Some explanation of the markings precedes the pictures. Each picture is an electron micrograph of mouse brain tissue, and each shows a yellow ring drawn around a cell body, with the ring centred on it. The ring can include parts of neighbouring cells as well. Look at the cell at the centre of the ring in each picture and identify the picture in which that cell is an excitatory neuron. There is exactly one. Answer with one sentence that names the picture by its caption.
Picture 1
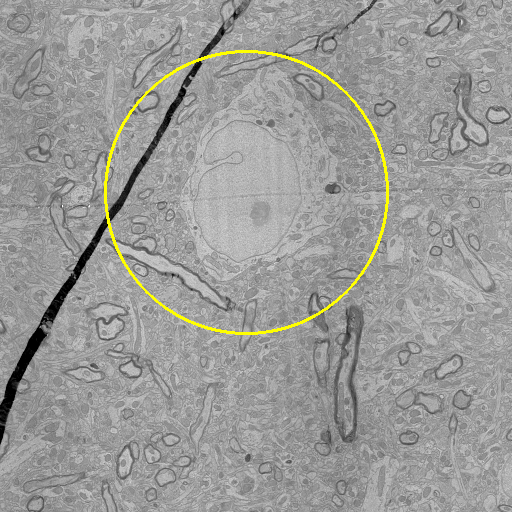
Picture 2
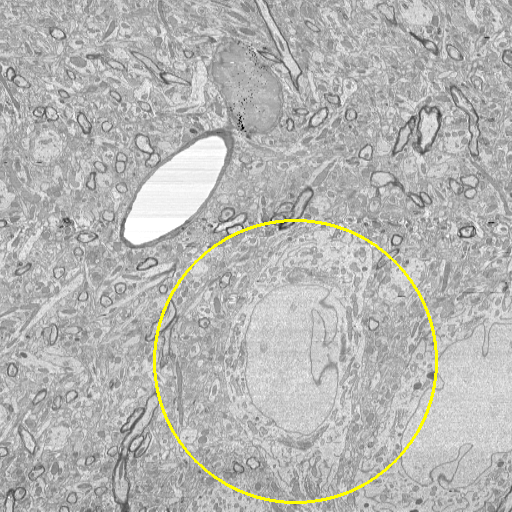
In Picture 1, the cell at the centre of the ring is of that kind.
